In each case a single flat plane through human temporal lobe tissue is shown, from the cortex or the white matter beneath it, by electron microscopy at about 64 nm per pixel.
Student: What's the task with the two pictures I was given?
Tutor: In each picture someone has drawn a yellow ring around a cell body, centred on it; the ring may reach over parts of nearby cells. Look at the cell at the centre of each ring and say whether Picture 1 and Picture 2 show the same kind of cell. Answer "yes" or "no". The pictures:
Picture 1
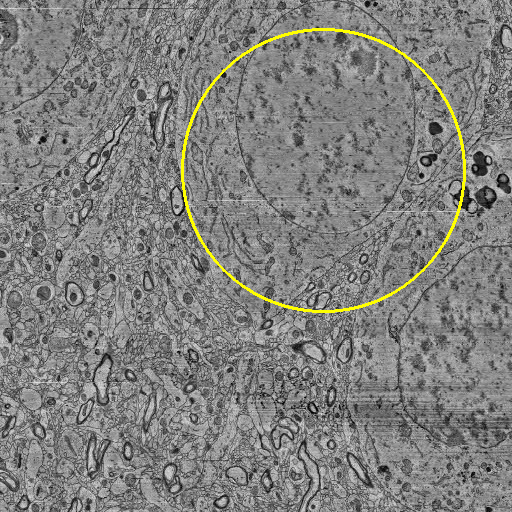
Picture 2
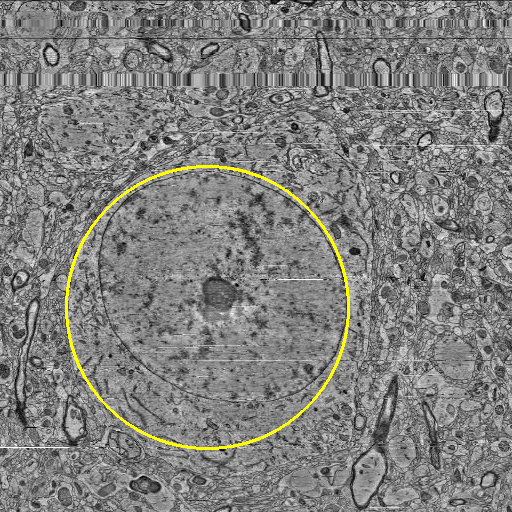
yes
